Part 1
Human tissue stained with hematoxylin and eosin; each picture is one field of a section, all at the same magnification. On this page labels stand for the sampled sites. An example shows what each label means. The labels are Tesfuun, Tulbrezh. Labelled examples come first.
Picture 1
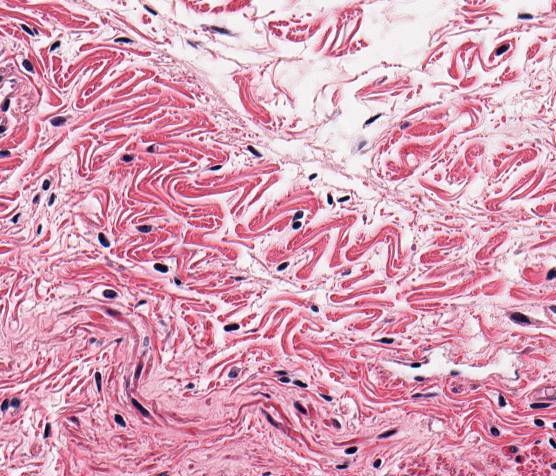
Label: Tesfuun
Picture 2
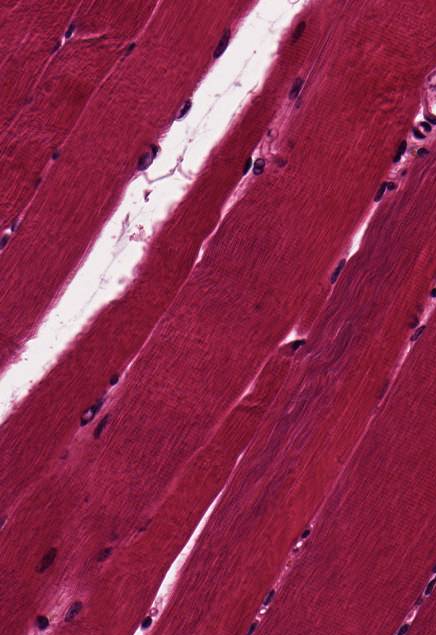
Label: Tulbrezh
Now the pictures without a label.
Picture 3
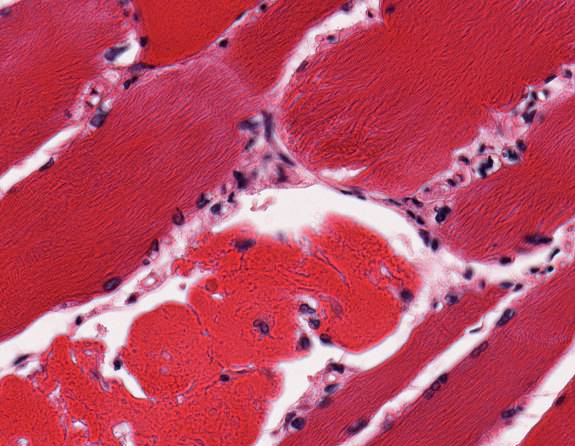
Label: Tulbrezh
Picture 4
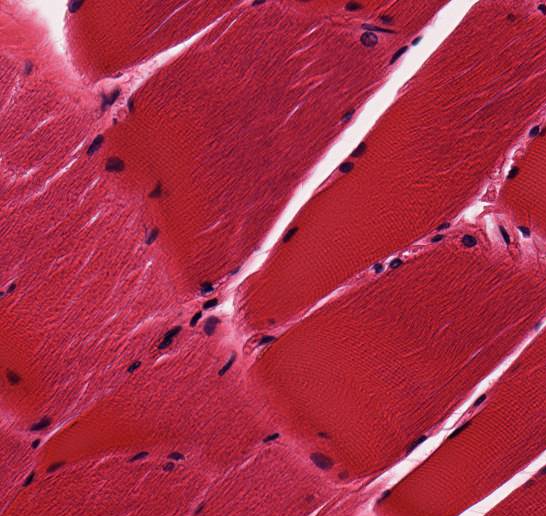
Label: Tulbrezh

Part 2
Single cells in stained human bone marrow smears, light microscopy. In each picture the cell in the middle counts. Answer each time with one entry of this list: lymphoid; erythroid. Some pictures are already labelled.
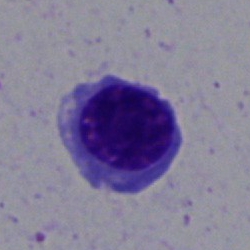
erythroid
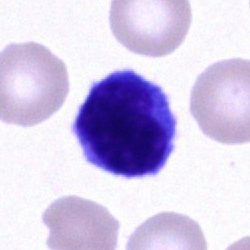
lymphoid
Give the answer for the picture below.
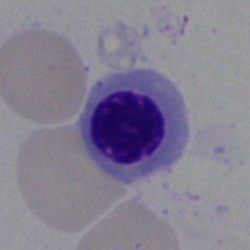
erythroid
